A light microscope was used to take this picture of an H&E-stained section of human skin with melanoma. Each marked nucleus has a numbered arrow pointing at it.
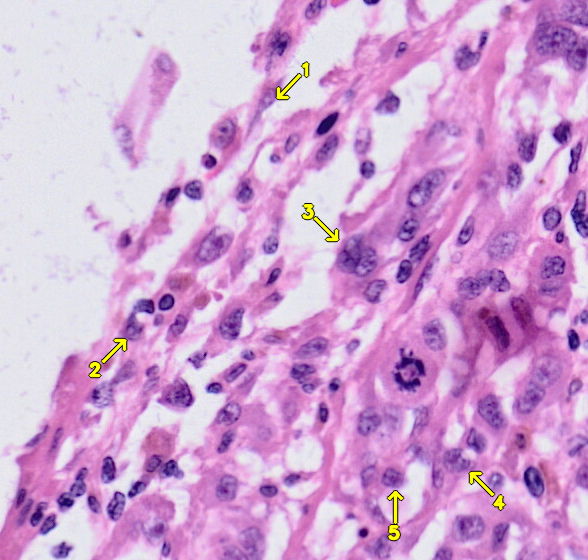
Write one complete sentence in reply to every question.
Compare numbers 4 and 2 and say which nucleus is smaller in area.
It is nucleus 2; nucleus 4 has about 2 times its area.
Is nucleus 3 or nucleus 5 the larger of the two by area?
Nucleus 3 covers more area, about 2 times as much as nucleus 5.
